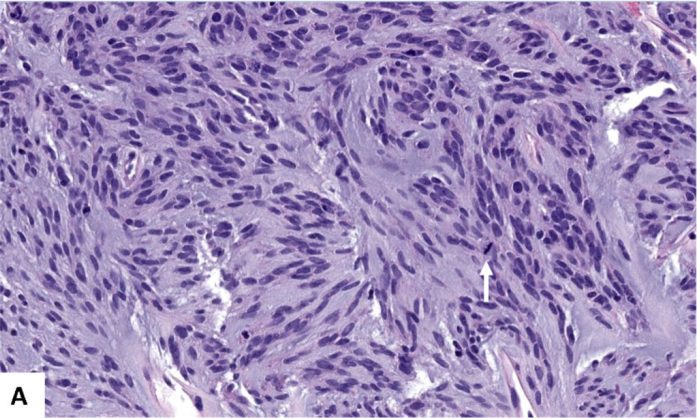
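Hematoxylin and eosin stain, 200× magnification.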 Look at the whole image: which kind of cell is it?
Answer: spindle cells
